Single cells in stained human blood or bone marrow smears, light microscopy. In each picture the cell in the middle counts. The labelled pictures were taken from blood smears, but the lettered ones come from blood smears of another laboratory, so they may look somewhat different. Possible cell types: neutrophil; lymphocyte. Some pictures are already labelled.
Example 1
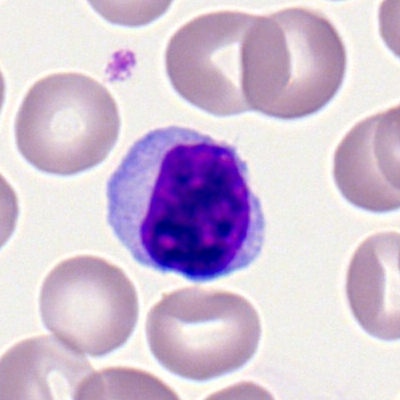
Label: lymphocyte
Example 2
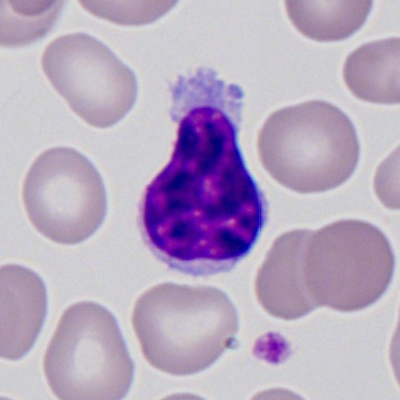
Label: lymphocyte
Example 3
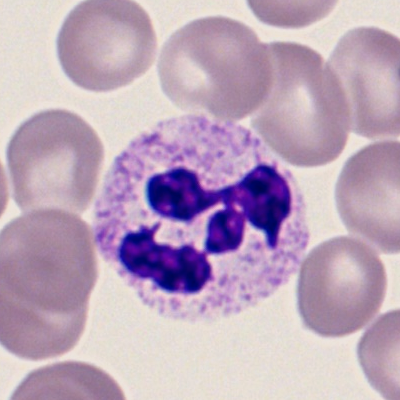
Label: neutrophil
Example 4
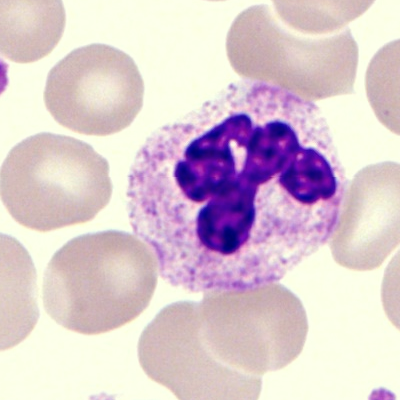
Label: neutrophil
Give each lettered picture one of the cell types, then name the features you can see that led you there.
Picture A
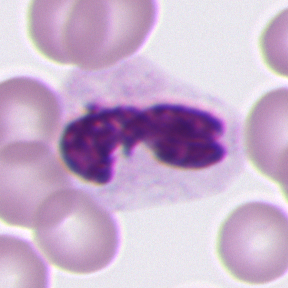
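Answer: neutrophil. The cytoplasm is abundant and pale pinkish-lilac.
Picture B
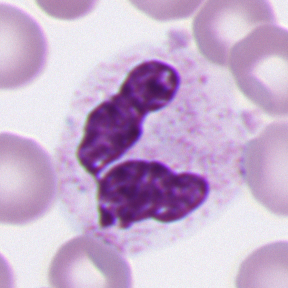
Answer: neutrophil. The cytoplasm is abundant and pale pinkish-lilac.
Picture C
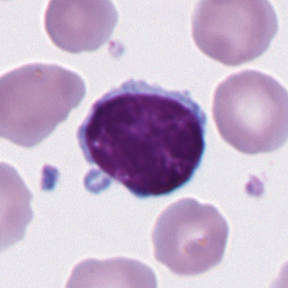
Answer: lymphocyte. The cytoplasm forms only a narrow pale blue rim around the nucleus.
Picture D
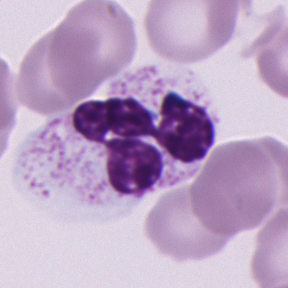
Answer: neutrophil. The cytoplasm is plentiful and very pale.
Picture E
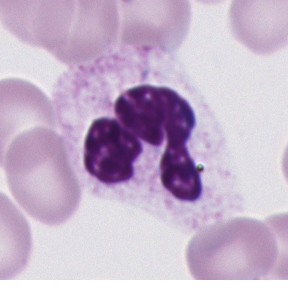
Answer: neutrophil. The cytoplasm is plentiful and pale pink.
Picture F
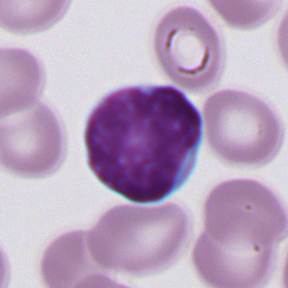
Answer: lymphocyte. The cytoplasm is only a thin rim that is widest at the lower right.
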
